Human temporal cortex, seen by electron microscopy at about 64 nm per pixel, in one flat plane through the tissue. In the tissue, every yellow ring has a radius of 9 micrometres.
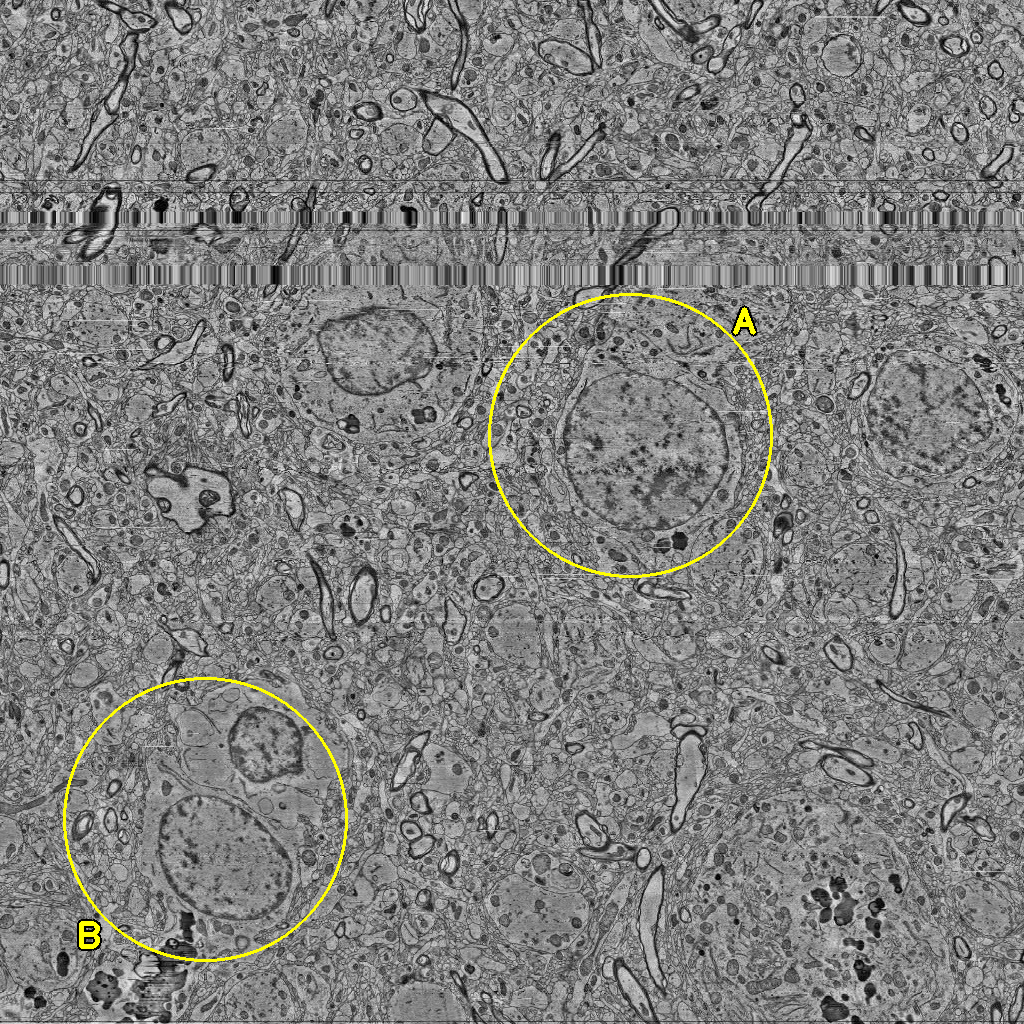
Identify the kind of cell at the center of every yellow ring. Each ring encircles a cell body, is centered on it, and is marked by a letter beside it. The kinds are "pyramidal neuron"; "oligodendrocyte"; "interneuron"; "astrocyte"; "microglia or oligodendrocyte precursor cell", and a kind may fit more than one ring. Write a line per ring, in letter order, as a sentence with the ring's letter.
The cell centered in ring A is an interneuron.
The cell centered in ring B is an astrocyte.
